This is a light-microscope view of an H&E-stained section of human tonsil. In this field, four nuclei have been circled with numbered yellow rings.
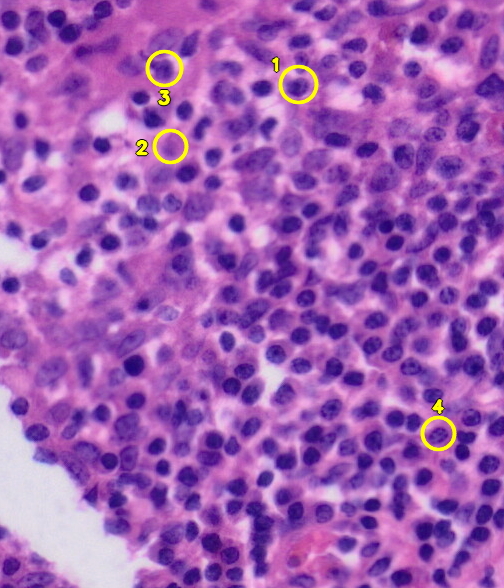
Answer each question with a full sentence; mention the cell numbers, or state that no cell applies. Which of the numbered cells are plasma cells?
Across all the numbered cells, only number 4 is a plasma cell.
